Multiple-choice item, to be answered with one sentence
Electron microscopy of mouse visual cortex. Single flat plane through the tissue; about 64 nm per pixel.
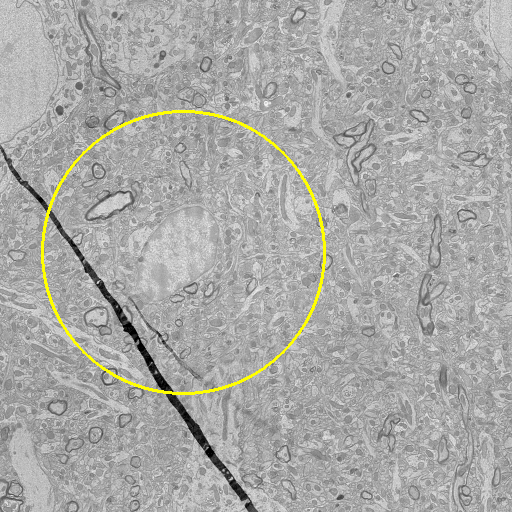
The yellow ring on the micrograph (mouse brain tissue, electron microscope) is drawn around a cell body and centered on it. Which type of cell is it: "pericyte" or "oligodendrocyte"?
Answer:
The ring is centered on an oligodendrocyte.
